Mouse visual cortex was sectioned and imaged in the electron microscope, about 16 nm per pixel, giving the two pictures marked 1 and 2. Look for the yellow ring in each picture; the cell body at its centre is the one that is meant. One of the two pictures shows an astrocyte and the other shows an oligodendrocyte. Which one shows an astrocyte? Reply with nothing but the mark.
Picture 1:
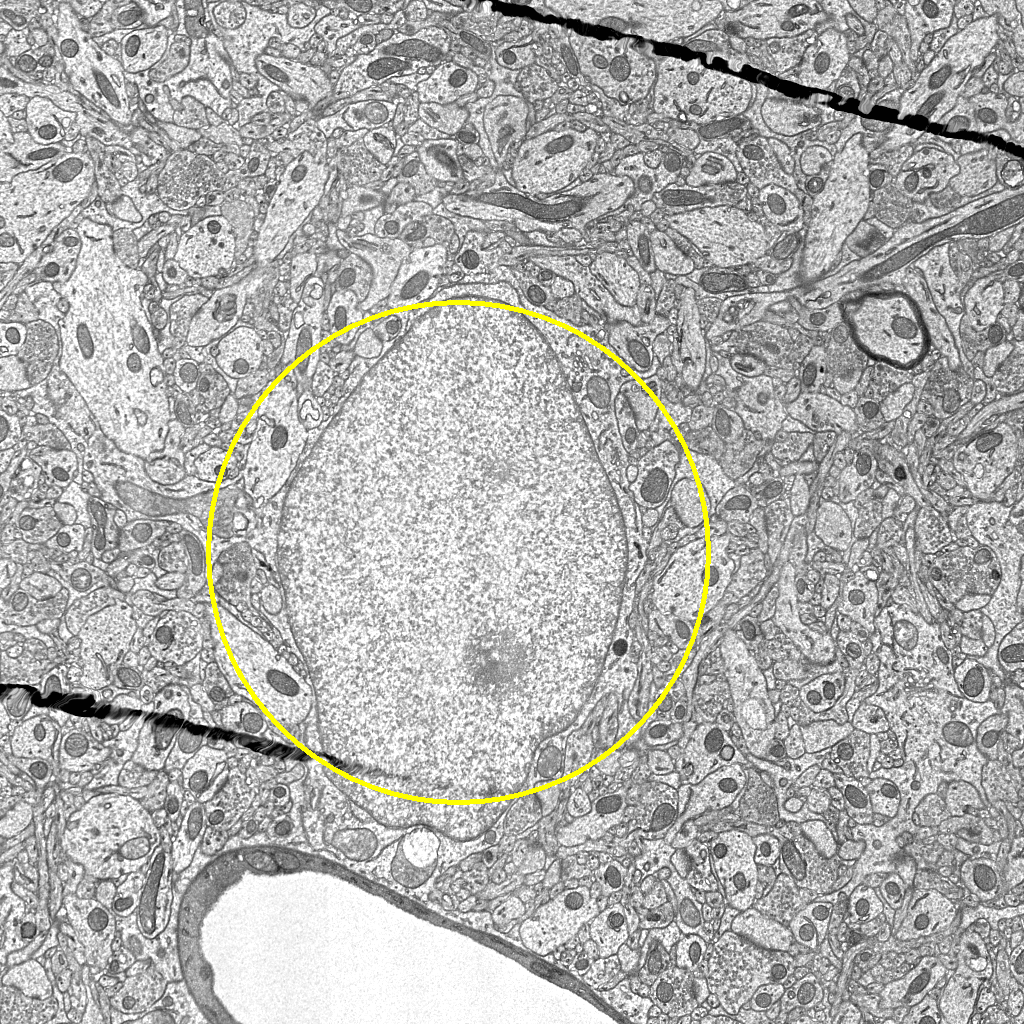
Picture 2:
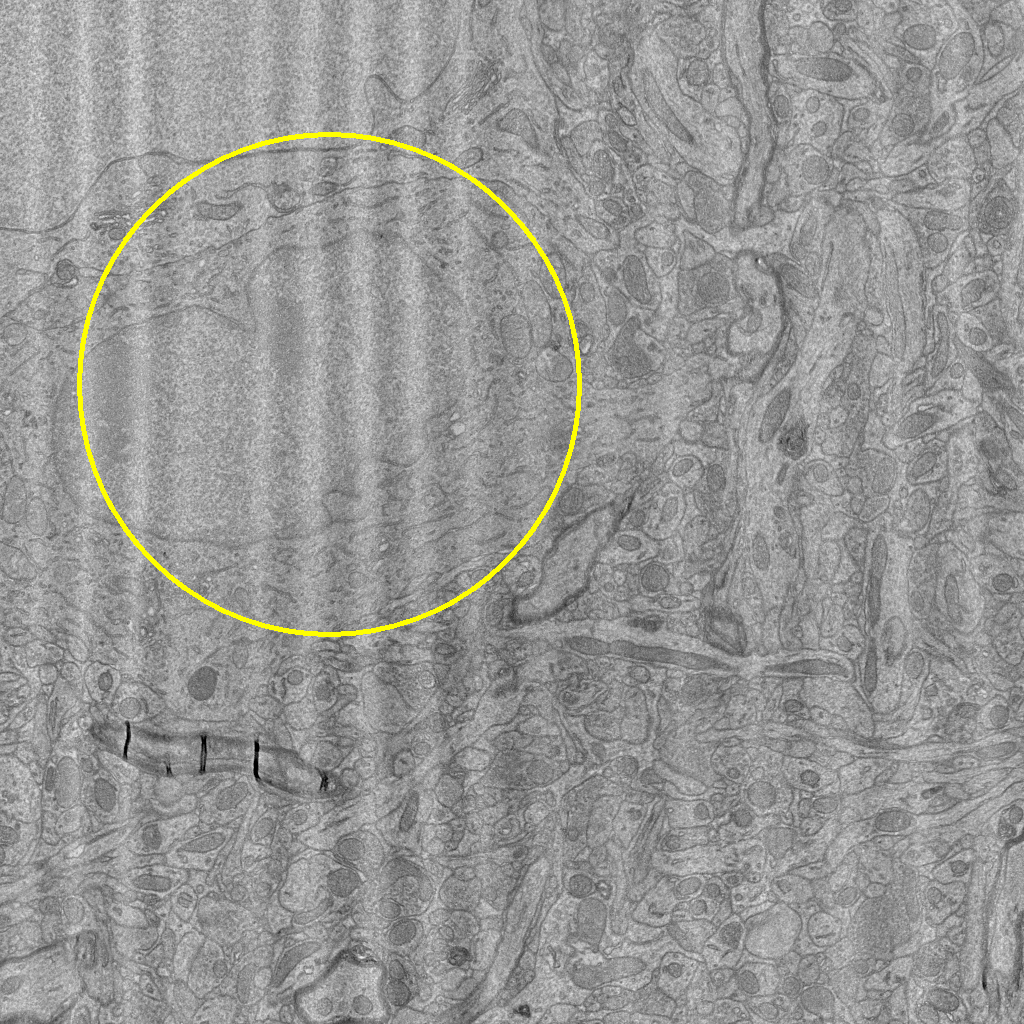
1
